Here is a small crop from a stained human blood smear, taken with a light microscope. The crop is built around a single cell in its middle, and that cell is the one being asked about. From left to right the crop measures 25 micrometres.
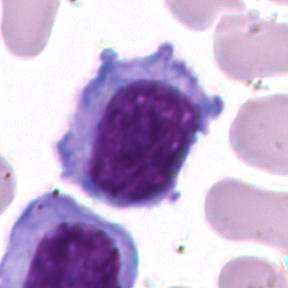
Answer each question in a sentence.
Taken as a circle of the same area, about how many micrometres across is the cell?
Taken as a circle, the cell has a diameter of about 13 micrometres.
